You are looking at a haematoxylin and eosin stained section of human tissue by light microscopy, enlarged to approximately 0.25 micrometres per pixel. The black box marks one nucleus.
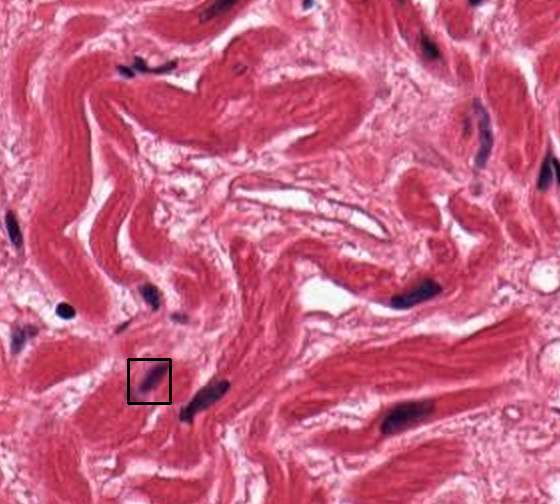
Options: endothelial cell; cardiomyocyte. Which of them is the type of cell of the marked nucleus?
cardiomyocyte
